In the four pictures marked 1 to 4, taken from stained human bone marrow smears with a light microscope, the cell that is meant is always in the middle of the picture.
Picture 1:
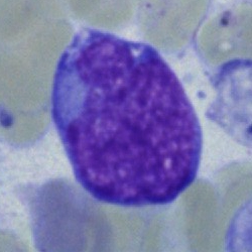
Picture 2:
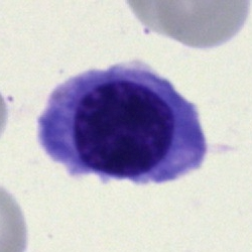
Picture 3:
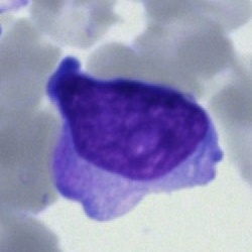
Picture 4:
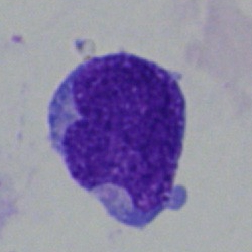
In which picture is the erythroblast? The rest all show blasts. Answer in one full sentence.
The cell in picture 2 is the erythroblast.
